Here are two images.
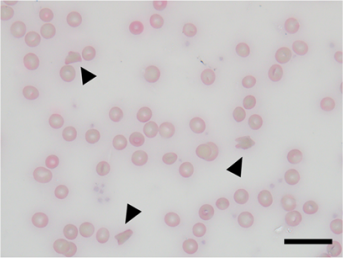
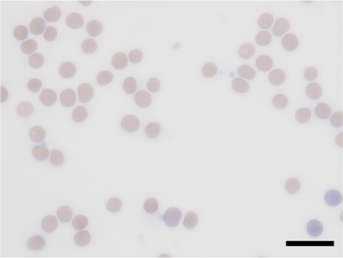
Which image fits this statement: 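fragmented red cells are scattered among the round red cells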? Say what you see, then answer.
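The first image. First image: several small, irregular, angular red cell fragments lie among the round discs.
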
